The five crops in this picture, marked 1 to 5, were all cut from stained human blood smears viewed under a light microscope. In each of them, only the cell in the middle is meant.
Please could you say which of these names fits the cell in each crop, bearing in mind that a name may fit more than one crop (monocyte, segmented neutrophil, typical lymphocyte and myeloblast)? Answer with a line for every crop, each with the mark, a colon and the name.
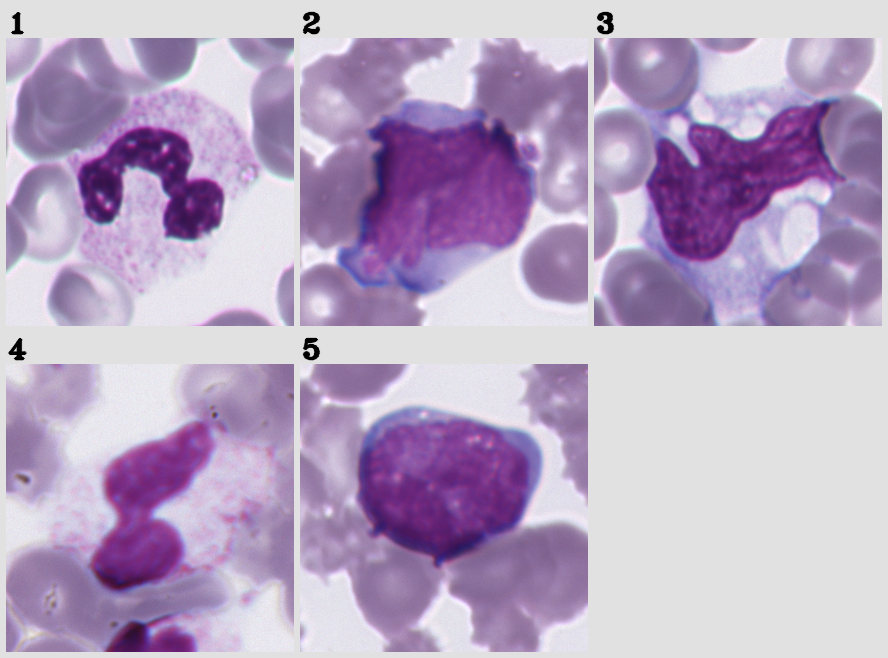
1: segmented neutrophil
2: myeloblast
3: monocyte
4: segmented neutrophil
5: myeloblast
